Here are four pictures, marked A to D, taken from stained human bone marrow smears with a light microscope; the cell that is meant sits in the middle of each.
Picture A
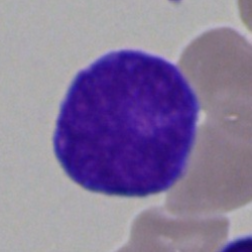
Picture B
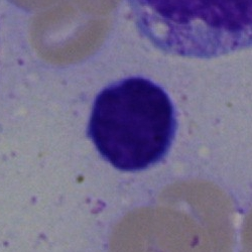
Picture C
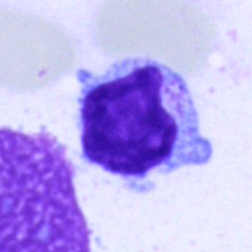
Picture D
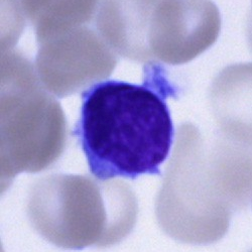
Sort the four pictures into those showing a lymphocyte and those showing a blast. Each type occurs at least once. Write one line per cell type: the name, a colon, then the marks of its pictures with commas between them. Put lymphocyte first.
lymphocyte: B, C, D
blast: A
